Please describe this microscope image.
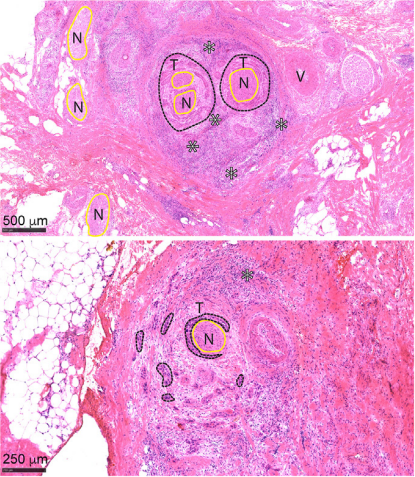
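Pink, fibrous connective tissue holds several round, pale pink nerve bundles cut across. Some of them are ringed by a dense, purple-staining cuff of tumor cells pressed close against the nerve. Around them lie patches crowded with small, dark nuclei, an inflammatory infiltrate, and at the lower left there is pale, open fat tissue.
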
